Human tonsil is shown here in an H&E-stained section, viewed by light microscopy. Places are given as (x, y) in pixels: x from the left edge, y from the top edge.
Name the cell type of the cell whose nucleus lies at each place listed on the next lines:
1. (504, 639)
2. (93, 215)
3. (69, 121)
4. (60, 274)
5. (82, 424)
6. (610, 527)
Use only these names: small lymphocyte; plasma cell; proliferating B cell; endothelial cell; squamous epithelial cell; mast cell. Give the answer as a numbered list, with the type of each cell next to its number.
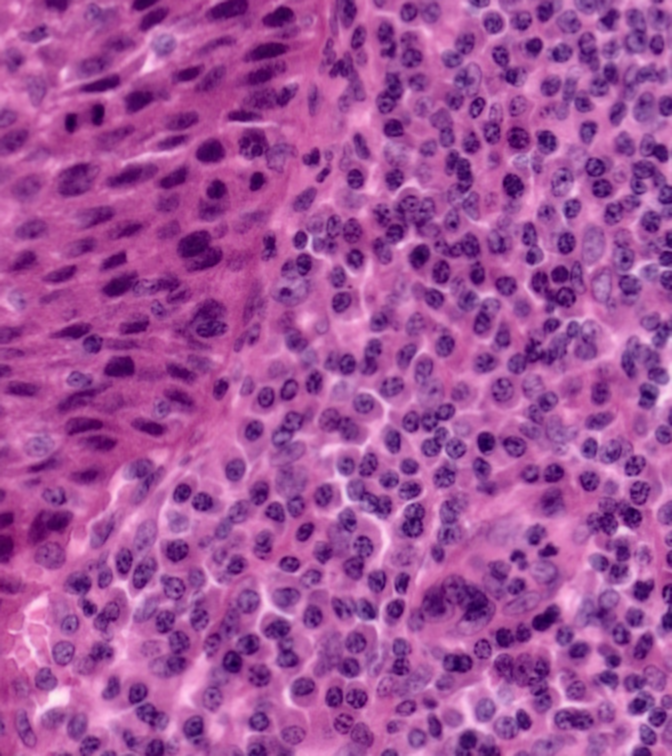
1. plasma cell
2. squamous epithelial cell
3. squamous epithelial cell
4. squamous epithelial cell
5. squamous epithelial cell
6. plasma cell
